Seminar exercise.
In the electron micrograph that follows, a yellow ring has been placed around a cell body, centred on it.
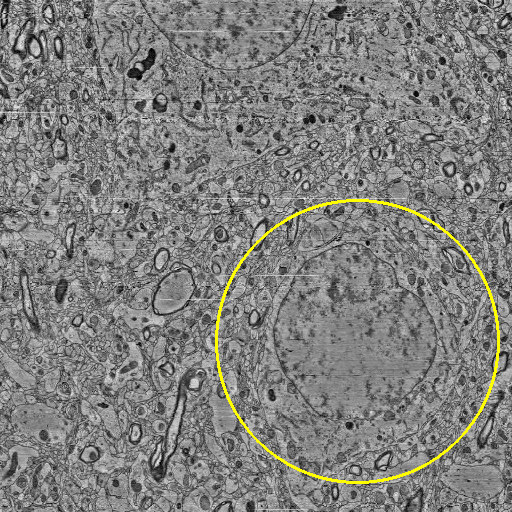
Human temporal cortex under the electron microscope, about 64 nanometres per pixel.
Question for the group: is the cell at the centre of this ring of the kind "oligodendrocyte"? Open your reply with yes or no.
No, the cell in the ring's centre is of another kind.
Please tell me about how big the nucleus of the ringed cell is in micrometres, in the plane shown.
In this plane the nucleus measures roughly 12 by 10 micrometers.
